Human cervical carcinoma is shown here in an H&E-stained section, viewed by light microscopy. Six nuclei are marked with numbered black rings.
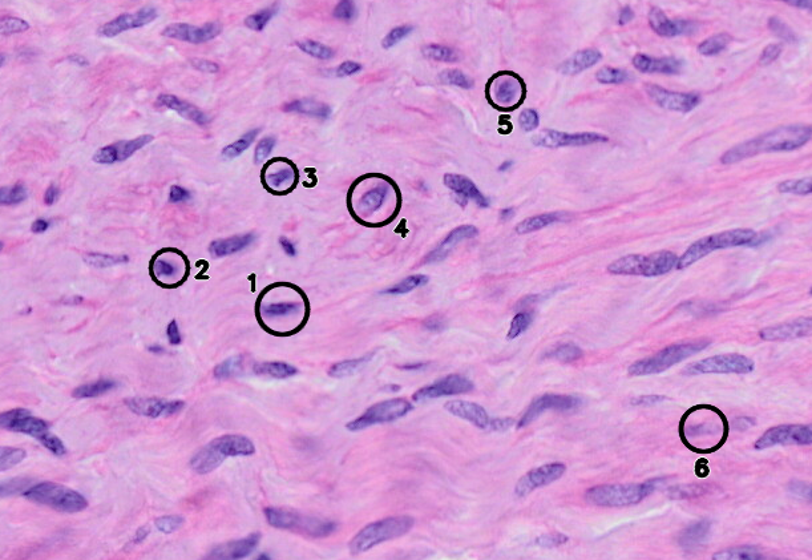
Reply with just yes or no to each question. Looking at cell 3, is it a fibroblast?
yes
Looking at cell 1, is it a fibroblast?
yes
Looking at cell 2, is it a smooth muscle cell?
no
